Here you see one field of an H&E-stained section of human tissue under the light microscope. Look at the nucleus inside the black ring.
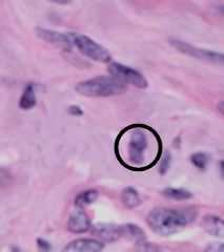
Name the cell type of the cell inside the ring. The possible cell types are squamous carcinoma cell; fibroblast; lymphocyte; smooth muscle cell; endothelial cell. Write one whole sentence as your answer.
By its classification, the cell inside the ring is a fibroblast.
